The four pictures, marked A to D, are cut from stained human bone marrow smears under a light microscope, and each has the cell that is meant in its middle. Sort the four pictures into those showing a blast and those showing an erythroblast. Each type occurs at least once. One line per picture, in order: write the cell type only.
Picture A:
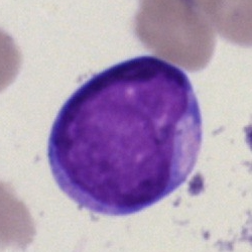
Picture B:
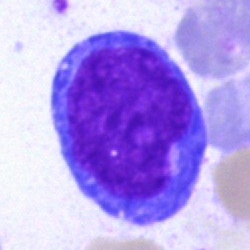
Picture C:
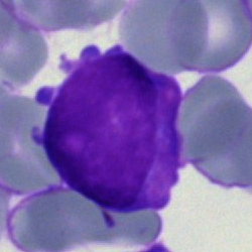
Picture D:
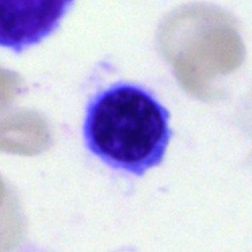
blast
blast
blast
erythroblast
